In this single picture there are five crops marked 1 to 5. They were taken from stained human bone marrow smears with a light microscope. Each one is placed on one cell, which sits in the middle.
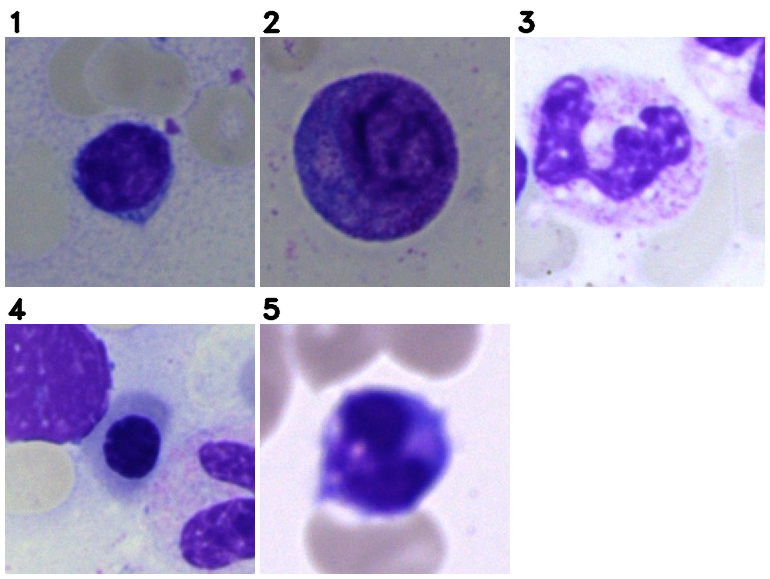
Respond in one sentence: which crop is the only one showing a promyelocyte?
Crop 2, of the crops presented, is the one showing a promyelocyte.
